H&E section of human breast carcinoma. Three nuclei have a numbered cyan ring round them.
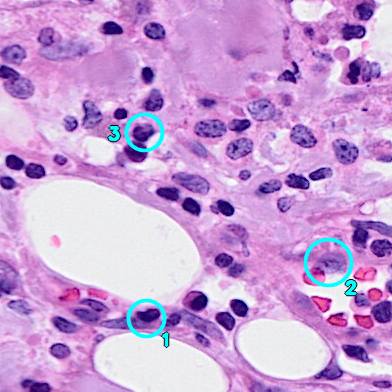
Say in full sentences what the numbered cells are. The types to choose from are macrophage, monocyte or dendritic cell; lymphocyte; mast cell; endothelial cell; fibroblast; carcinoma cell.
Cells 1 and 3 are lymphocytes. Cell 2 is an endothelial cell.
